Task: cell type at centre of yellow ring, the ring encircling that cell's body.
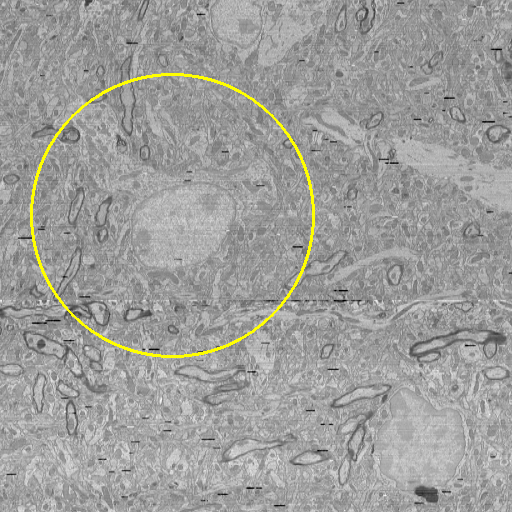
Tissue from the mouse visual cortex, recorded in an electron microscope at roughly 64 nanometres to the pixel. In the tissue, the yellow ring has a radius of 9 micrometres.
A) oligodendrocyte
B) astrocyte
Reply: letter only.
B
